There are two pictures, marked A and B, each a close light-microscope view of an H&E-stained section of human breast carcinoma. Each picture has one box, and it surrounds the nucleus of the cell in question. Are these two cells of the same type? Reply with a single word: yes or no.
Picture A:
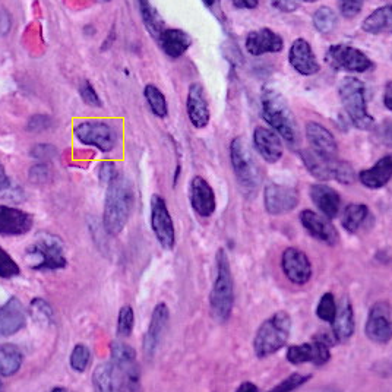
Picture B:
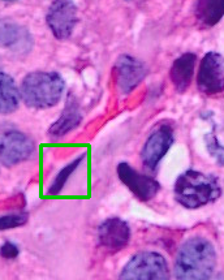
yes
